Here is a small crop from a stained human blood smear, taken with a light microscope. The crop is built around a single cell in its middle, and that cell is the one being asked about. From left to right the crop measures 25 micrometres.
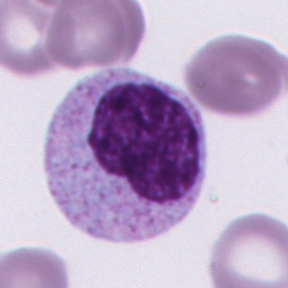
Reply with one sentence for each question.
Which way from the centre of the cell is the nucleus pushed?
It is shifted toward the upper right of the cell.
